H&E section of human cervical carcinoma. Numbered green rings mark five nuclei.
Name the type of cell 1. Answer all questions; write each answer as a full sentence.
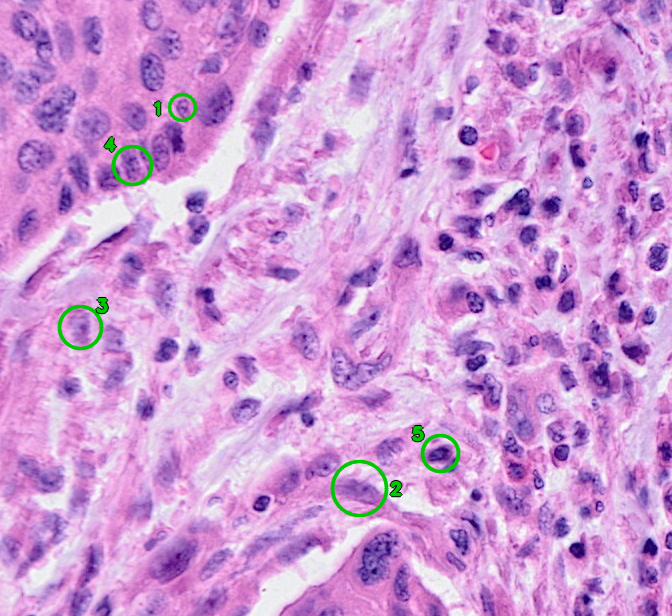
The cell referred to as 1 is a squamous carcinoma cell.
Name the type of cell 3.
The nucleus marked 3 is the nucleus of a fibroblast.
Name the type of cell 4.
Regarding cell 4, this one is a squamous carcinoma cell.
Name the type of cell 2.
The correct label for cell 2 is a fibroblast.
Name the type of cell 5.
Corresponding to a lymphocyte is the cell labelled 5.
